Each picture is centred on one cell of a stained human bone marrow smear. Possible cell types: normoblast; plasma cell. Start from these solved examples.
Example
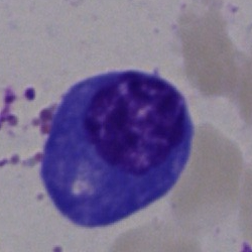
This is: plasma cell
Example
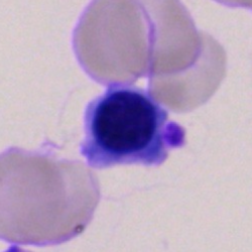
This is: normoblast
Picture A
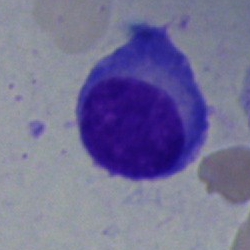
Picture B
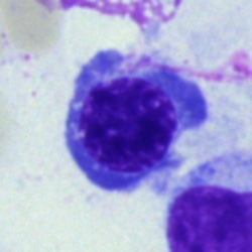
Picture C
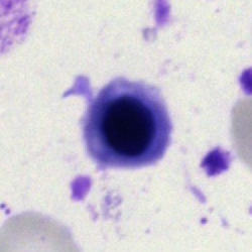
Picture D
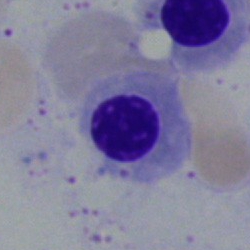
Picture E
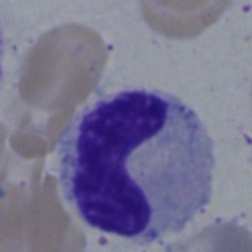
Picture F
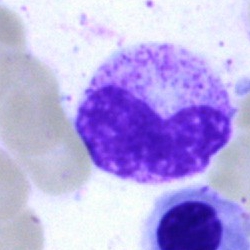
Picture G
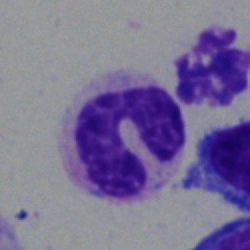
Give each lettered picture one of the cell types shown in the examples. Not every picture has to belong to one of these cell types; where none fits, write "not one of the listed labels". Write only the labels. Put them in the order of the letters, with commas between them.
plasma cell, normoblast, normoblast, normoblast, not one of the listed labels, not one of the listed labels, not one of the listed labels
